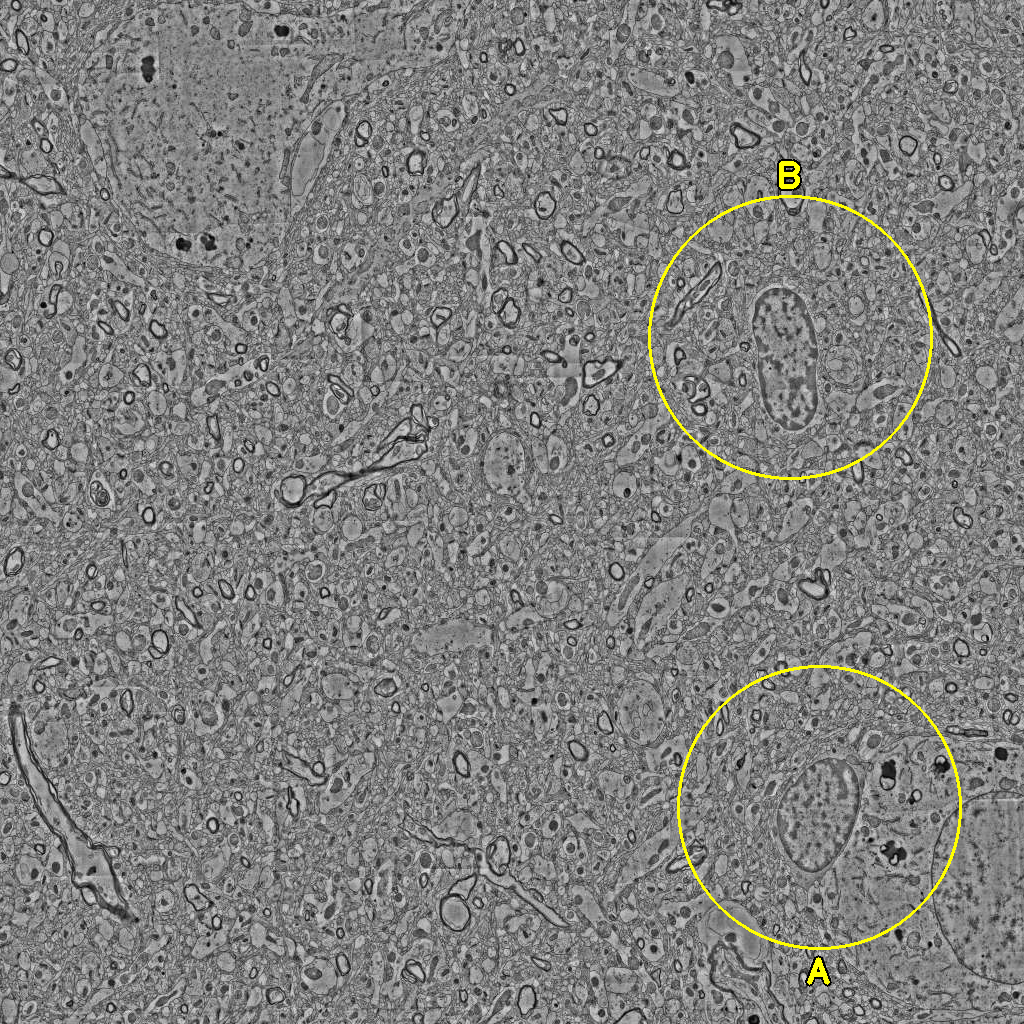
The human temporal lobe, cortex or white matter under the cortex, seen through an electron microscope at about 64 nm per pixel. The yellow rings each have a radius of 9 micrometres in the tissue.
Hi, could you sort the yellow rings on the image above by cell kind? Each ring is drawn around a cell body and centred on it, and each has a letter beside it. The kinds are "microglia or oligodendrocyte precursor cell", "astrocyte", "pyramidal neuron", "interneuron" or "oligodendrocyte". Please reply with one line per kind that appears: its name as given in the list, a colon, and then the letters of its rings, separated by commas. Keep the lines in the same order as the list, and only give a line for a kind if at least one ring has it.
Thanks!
microglia or oligodendrocyte precursor cell: B
oligodendrocyte: A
